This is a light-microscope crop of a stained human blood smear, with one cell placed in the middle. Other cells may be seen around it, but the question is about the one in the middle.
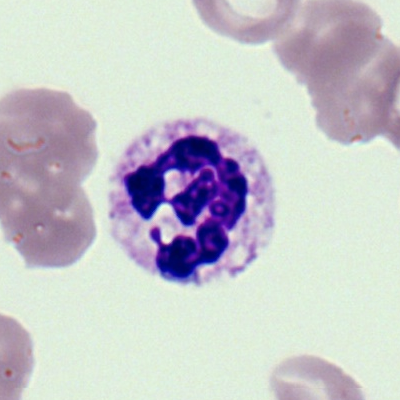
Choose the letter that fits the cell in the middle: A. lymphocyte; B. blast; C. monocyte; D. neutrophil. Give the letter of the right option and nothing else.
D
